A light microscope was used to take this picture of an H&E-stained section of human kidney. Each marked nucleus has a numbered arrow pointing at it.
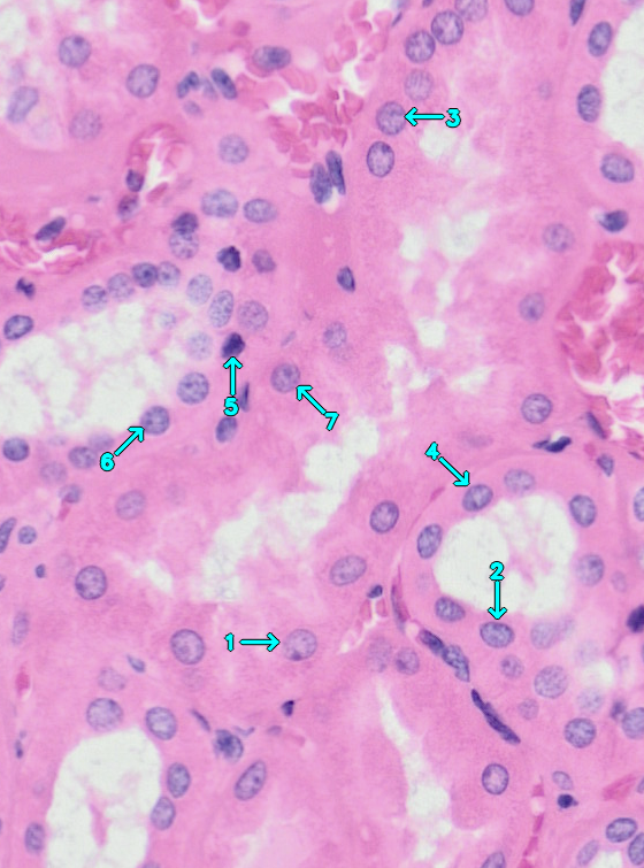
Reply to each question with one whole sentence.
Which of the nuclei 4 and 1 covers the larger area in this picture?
Nucleus 1 covers more area, about 1.5 times as much as nucleus 4.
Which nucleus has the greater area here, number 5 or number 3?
It is nucleus 3, which covers about 1.5 times the area of nucleus 5.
